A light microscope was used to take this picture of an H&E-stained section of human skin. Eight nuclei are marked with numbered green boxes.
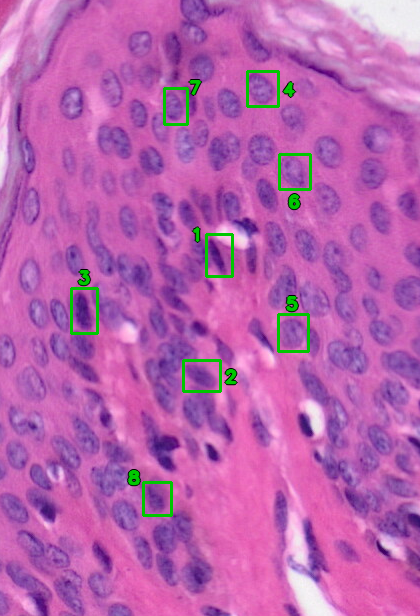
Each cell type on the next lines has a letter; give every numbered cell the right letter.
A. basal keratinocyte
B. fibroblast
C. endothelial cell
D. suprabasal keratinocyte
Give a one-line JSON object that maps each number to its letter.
{"1": "A", "2": "A", "3": "A", "4": "D", "5": "A", "6": "D", "7": "D", "8": "A"}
